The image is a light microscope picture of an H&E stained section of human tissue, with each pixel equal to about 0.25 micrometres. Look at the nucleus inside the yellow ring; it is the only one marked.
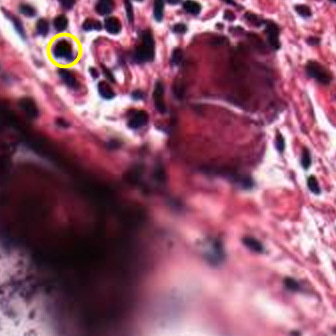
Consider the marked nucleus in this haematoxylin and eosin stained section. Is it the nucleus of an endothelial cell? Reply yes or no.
no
